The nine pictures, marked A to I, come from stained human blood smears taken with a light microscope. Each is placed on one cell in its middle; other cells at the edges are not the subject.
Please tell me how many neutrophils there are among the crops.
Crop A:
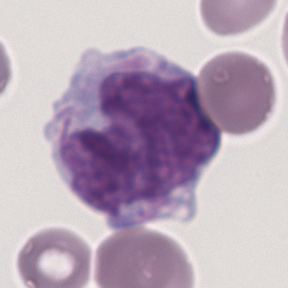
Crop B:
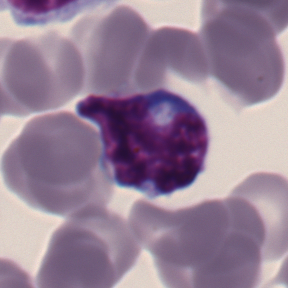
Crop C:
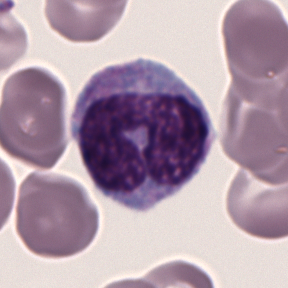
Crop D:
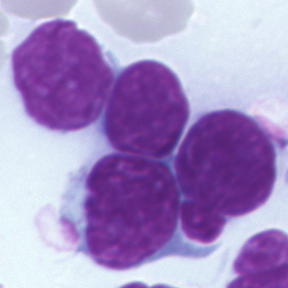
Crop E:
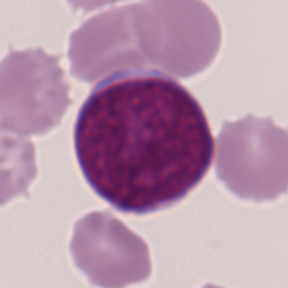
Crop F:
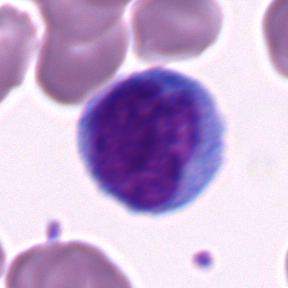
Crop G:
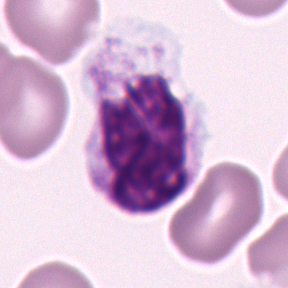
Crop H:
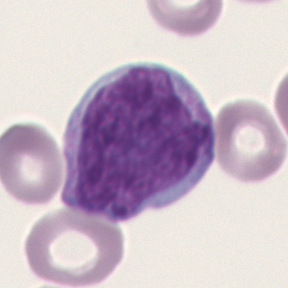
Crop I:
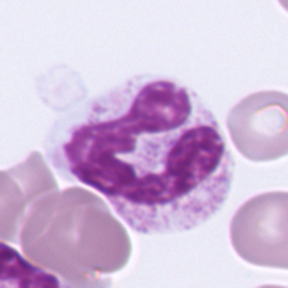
2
